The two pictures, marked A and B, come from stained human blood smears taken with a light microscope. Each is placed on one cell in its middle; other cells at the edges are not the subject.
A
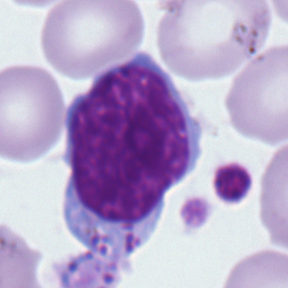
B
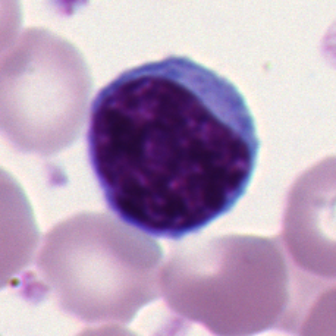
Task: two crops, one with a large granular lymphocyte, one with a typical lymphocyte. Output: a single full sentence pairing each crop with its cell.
Crop A shows a large granular lymphocyte, whereas crop B shows a typical lymphocyte.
